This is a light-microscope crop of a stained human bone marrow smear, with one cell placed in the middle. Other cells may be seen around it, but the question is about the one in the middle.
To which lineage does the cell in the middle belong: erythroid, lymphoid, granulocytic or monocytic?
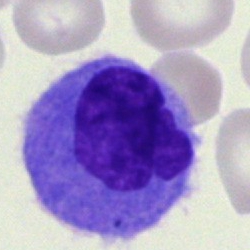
monocytic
